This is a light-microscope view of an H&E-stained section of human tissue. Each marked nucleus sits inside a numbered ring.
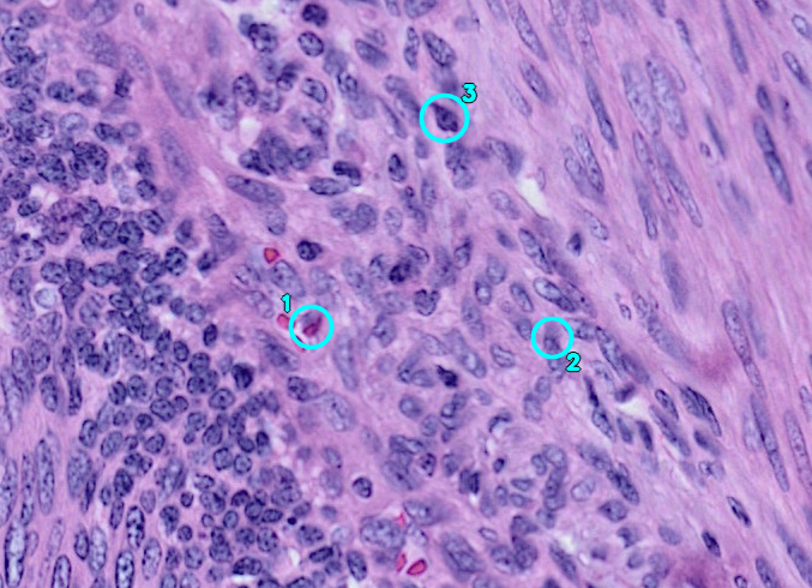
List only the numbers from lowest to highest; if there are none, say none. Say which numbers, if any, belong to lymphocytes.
3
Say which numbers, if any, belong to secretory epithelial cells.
none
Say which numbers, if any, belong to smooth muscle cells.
2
